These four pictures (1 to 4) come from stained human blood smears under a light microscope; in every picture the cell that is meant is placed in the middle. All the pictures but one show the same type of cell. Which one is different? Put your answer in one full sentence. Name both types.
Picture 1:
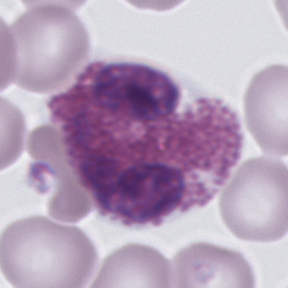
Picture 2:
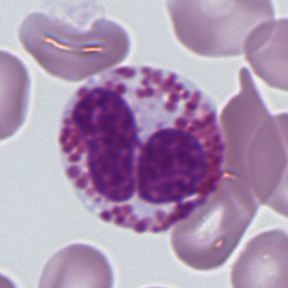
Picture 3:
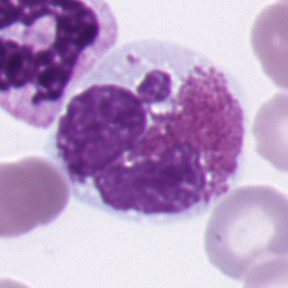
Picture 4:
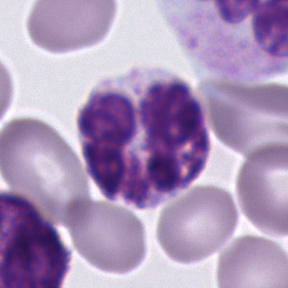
Picture 4 differs, because its cell is a basophil and the rest are eosinophils.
